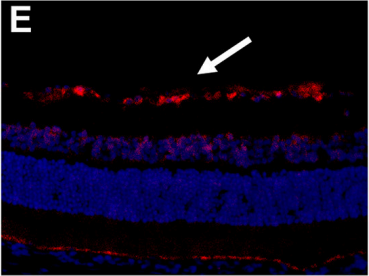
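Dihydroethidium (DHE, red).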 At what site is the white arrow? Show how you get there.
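Retinal ganglion cell layer. The arrow points at the innermost row of scattered cells at the top of the retina. Red fluorescent cells lie in a thin row above a dark, nucleus-poor band. Below that band lie a thinner and a thicker layer of densely packed blue nuclei.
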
